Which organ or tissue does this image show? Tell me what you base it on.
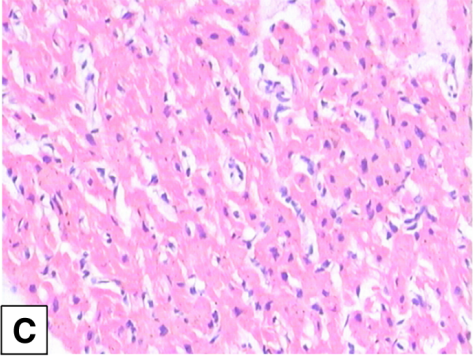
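Myocardial tissues. Pink, elongated fibers run roughly parallel. Oval to elongated nuclei lie centrally within the fibers. Fibers branch and are separated by narrow clefts.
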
